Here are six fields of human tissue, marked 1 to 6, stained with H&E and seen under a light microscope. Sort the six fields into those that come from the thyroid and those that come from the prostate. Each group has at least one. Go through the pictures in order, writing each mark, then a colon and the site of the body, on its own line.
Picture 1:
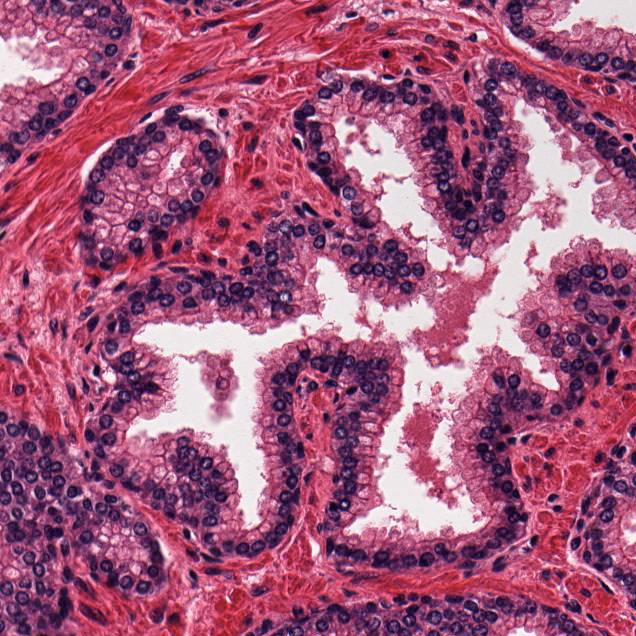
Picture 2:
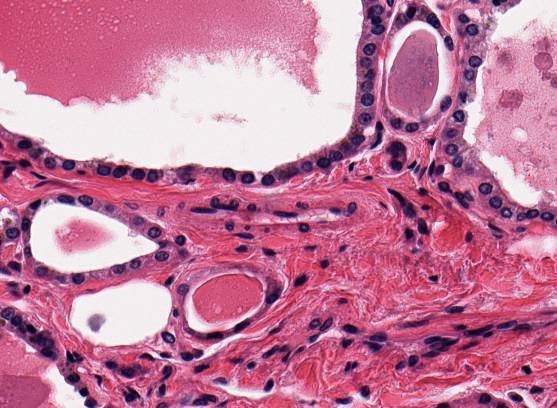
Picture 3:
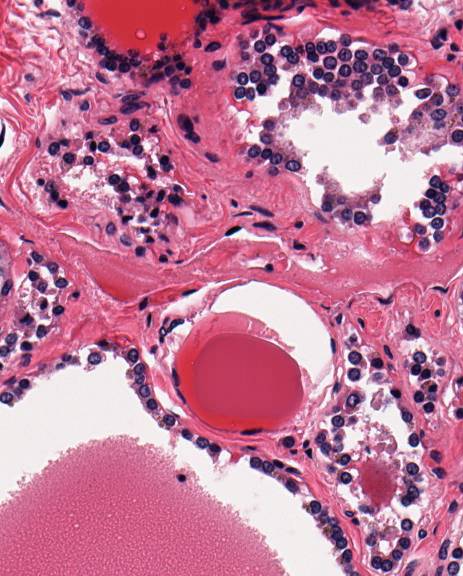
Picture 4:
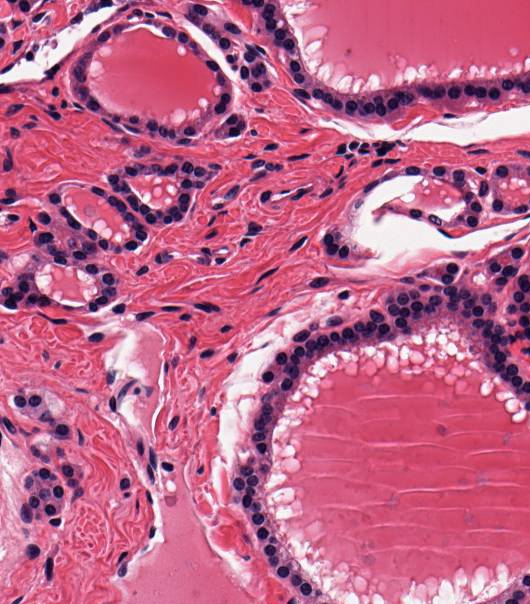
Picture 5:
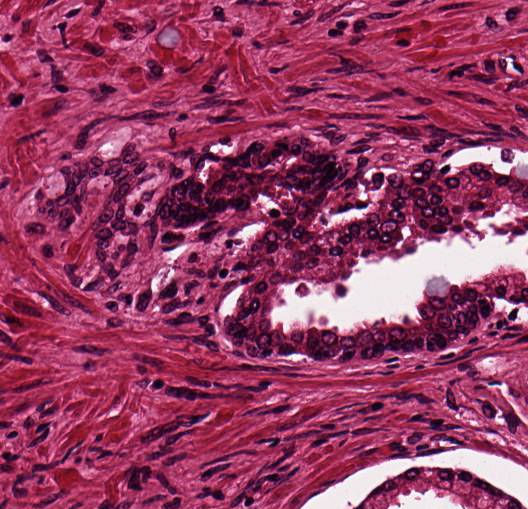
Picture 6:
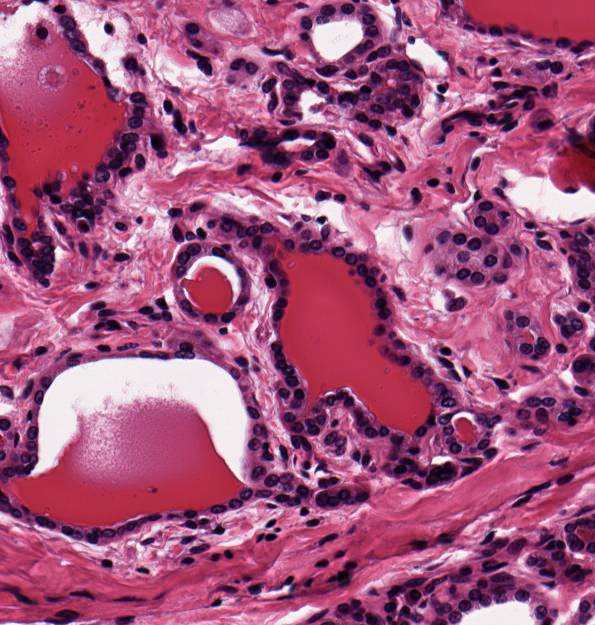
1: prostate
2: thyroid
3: thyroid
4: thyroid
5: prostate
6: thyroid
